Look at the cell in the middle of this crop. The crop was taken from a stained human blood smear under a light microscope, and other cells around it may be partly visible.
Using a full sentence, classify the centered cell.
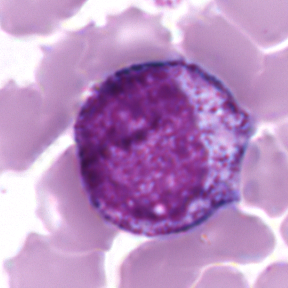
Seen at the centre of the crop is a myelocyte.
